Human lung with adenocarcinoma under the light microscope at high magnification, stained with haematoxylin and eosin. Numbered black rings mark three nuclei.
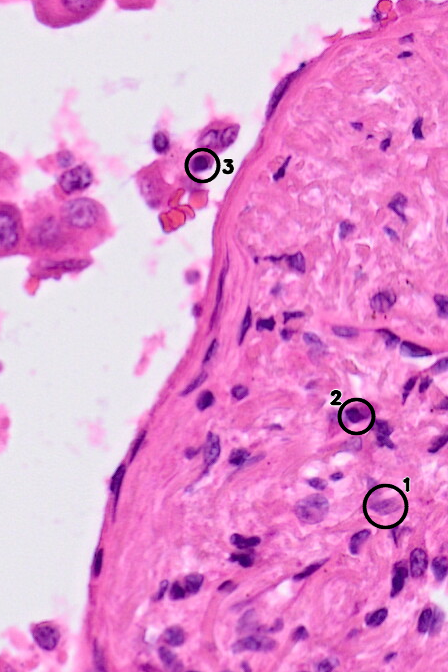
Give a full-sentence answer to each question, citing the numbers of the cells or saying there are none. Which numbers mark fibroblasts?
A single numbered cell, cell 1, is a fibroblast.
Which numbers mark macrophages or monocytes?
No numbered cell in this section is one of the macrophages or monocytes.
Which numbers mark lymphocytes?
Cell 3 is a lymphocyte, while all remaining marked cells are of other types.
